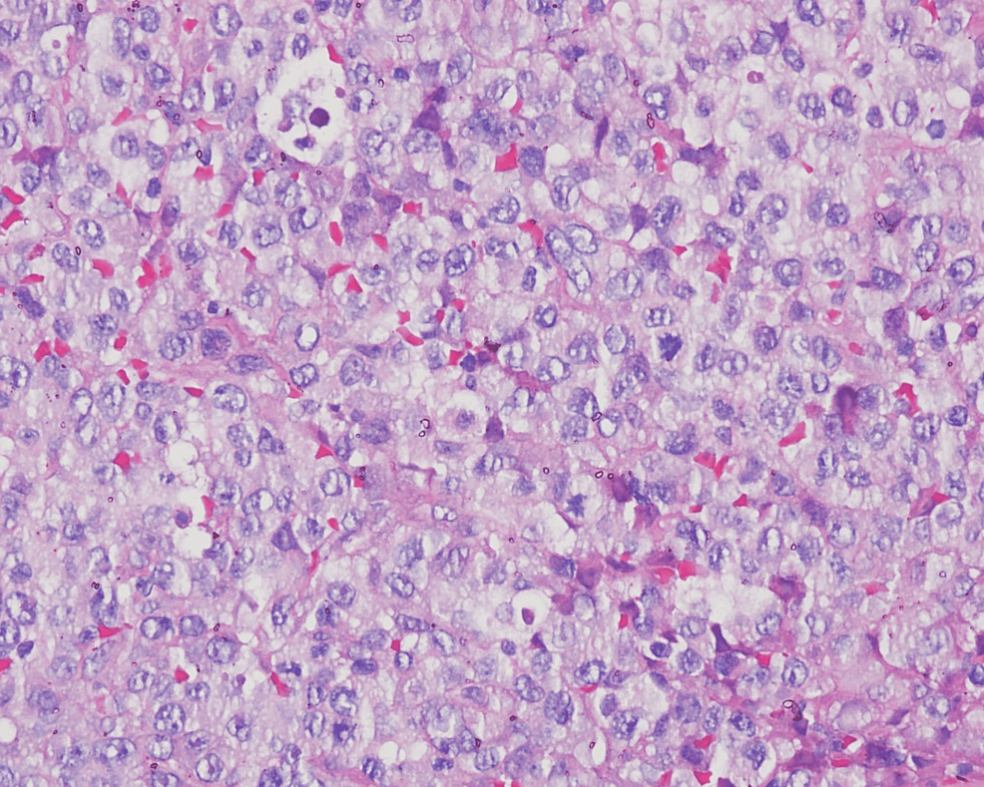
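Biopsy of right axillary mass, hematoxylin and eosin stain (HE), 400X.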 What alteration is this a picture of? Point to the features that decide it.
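Diffuse proliferation of large cells. The whole field is a continuous sheet of cells with no glands, nests or normal tissue between them. The cells are large, with broad pale, finely vacuolated cytoplasm. Nuclei are large, round to oval and somewhat irregular, with open chromatin and visible nucleoli.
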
